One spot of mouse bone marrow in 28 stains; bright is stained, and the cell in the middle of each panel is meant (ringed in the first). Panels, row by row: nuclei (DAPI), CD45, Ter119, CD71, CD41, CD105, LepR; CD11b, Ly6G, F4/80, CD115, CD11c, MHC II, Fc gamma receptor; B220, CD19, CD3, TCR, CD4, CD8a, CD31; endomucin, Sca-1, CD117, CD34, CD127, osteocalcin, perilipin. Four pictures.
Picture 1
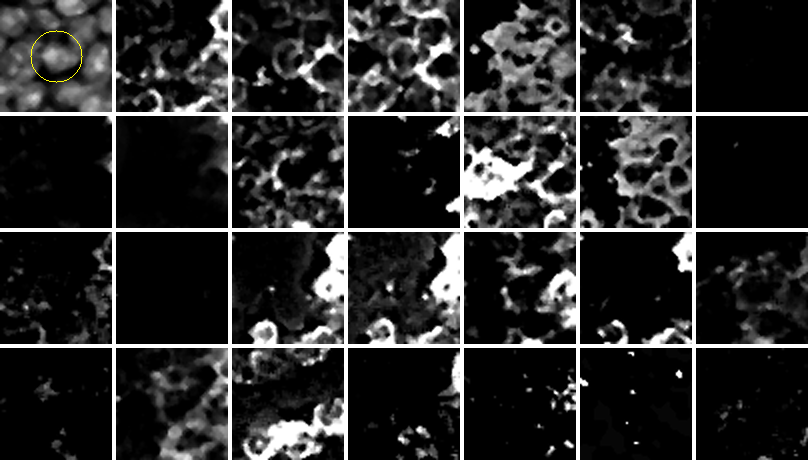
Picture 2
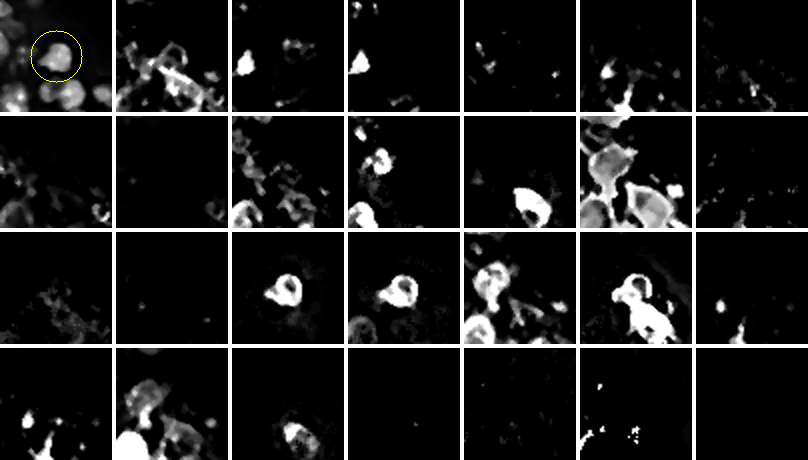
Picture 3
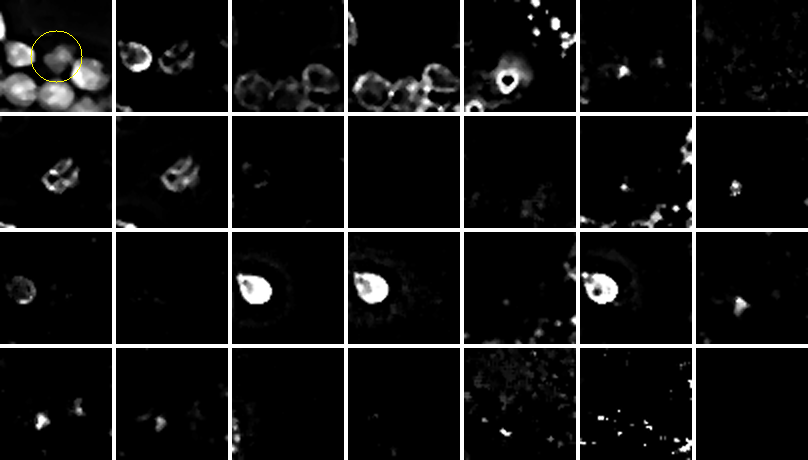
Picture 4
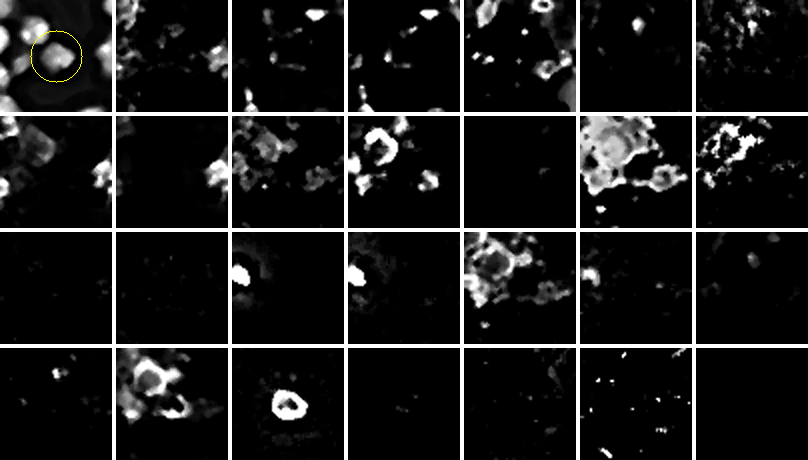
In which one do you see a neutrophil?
In picture 3.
